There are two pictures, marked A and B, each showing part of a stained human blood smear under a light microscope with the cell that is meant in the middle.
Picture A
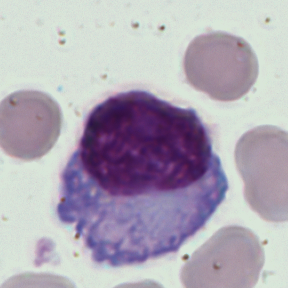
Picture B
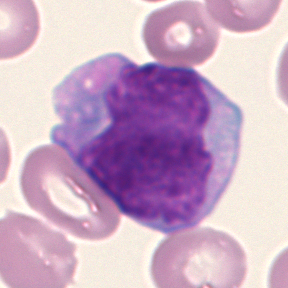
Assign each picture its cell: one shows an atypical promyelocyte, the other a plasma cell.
A: plasma cell
B: atypical promyelocyte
